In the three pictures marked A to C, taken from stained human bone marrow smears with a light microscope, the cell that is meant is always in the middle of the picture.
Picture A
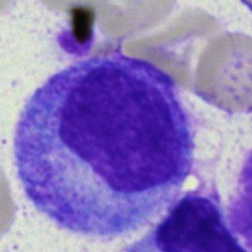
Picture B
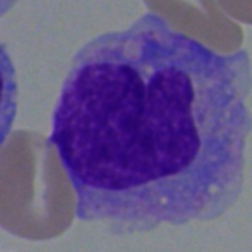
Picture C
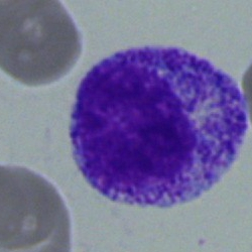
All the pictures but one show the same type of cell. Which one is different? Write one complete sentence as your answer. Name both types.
The others show myelocytes, but picture B shows a monocyte.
